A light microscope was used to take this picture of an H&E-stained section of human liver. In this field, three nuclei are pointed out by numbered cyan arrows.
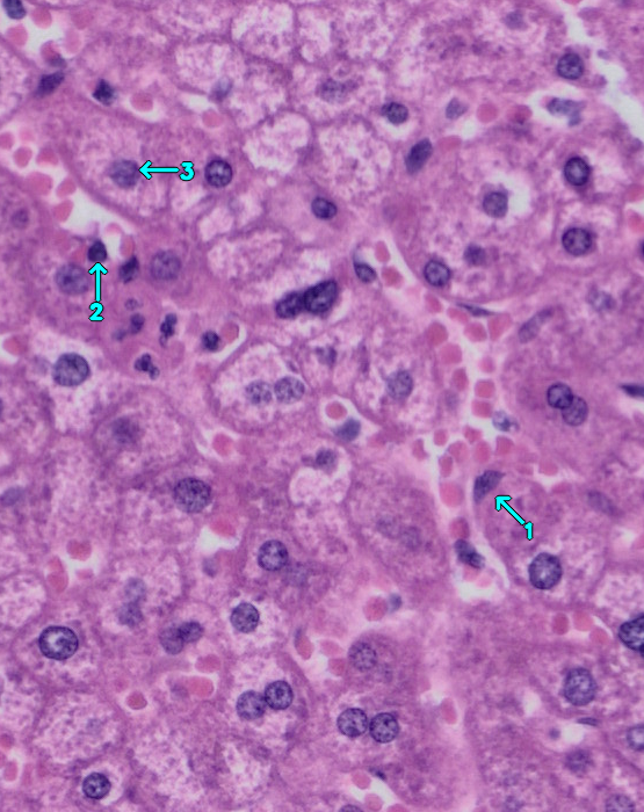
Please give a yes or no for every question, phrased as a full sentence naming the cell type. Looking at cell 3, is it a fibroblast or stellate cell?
No, cell 3 does not represent a fibroblast or stellate cell; it represents a hepatocyte.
